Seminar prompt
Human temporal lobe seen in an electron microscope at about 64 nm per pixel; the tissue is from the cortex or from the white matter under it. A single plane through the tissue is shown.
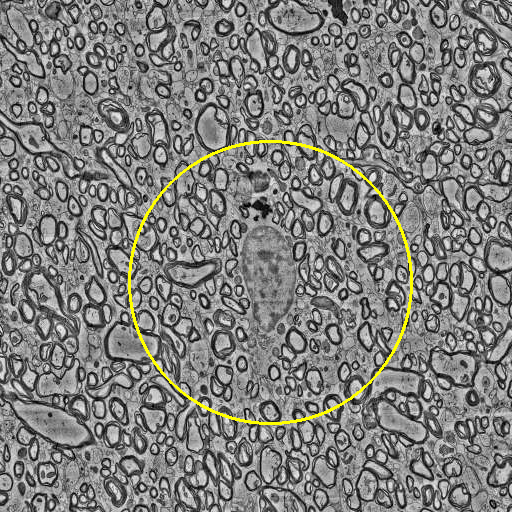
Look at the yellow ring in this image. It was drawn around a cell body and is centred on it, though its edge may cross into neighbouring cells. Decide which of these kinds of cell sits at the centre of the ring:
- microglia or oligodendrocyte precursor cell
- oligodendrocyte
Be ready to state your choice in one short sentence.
The kind of cell at the ring's centre is an oligodendrocyte.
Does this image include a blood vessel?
No, no vessel shows anywhere in the image.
